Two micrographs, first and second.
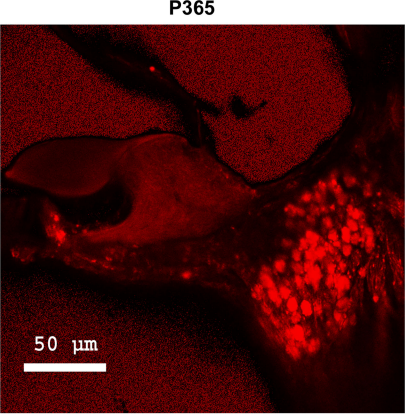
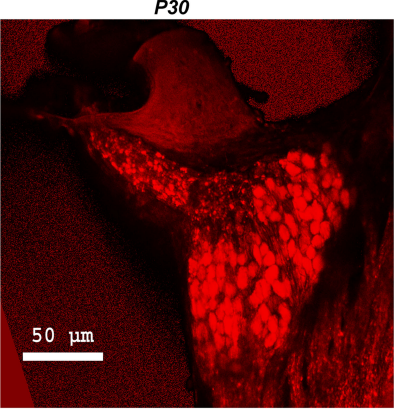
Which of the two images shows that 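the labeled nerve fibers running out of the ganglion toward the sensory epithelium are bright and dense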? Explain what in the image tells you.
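First image: little bright fiber labeling extends from the cell cluster toward the upper left. Second image: a dense band of bright labeled fibers runs from the cell cluster toward the upper left. That points to this answer: the second image.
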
